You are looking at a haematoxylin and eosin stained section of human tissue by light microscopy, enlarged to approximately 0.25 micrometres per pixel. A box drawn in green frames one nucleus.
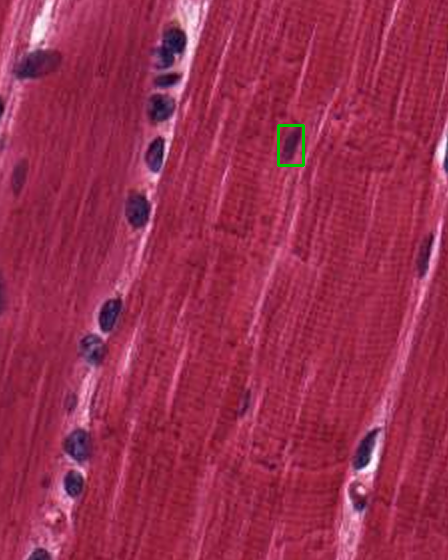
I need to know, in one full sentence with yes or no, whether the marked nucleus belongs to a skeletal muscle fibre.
Yes, the marked nucleus sits in a skeletal muscle fibre.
